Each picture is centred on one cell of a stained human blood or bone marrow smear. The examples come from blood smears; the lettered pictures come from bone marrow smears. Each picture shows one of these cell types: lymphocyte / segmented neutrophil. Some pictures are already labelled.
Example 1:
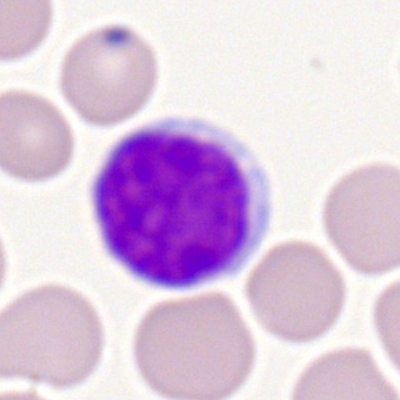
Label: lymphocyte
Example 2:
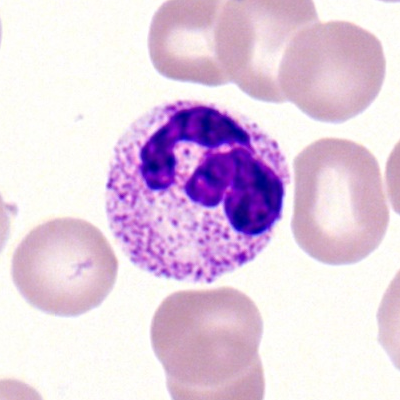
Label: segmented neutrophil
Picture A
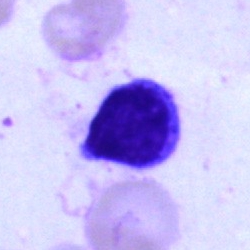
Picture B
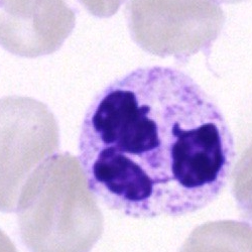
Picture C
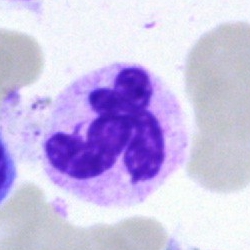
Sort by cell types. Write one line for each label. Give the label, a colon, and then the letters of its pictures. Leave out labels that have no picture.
lymphocyte: A
segmented neutrophil: B, C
